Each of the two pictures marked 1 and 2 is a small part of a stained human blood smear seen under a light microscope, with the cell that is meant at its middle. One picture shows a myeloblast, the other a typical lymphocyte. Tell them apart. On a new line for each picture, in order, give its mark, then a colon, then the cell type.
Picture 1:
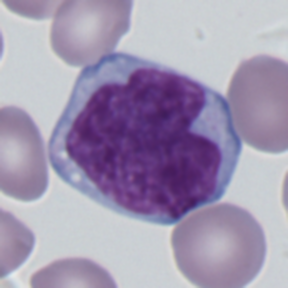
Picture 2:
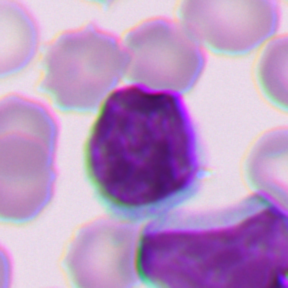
1: myeloblast
2: typical lymphocyte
